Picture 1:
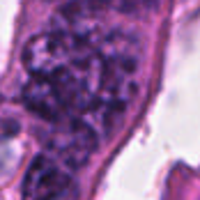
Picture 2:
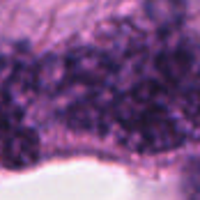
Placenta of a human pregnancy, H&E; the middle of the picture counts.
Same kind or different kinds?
Same: syncytial knots.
